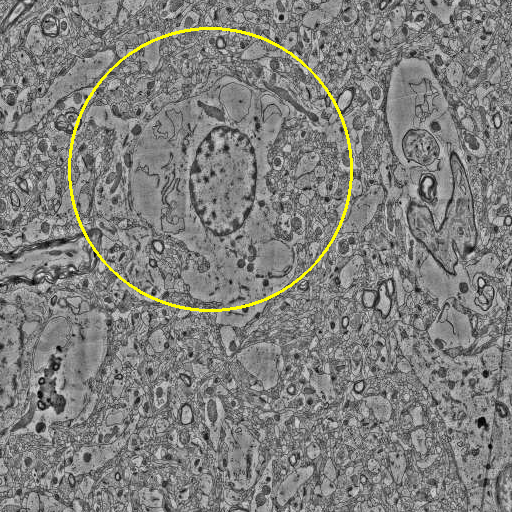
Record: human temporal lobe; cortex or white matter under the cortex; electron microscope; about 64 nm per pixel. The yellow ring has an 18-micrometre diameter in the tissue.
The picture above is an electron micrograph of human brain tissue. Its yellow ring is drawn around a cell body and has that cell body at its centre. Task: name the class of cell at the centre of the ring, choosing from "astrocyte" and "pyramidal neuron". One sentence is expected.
The ring surrounds the body of an astrocyte.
